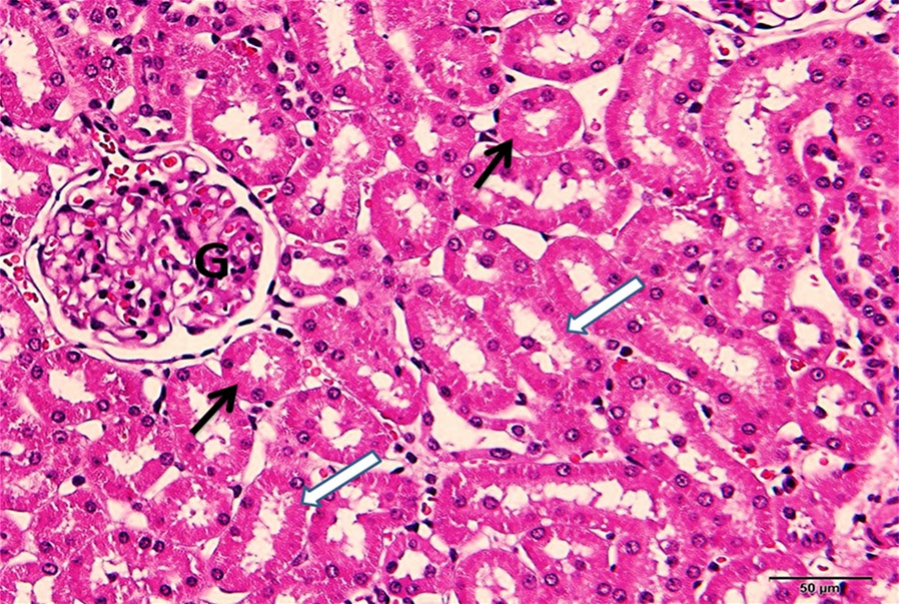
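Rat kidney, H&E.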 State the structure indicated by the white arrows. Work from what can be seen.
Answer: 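Distal convoluted tubules. The marked tubules are lined by a single layer of cuboidal cells with round nuclei. The marked tubules lie among other cortical tubules.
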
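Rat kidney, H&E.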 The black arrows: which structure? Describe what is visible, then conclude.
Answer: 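The marked tubules are lined by a single layer of tall, deeply pink cells with round nuclei. The marked tubules have narrow, irregular lumens with a fuzzy luminal edge. The marked tubules lie in the cortex near the glomerulus. So: proximal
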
